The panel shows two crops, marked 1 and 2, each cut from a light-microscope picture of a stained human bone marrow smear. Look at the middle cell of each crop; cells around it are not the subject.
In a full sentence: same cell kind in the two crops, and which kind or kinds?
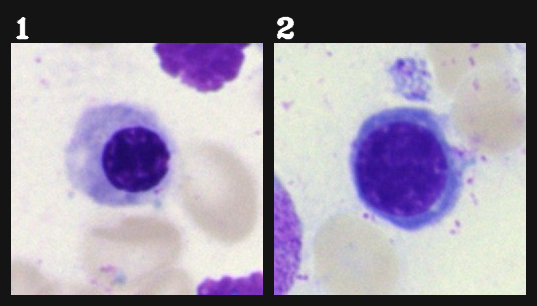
Yes, both crops show erythroblasts, and nothing else needs adding.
